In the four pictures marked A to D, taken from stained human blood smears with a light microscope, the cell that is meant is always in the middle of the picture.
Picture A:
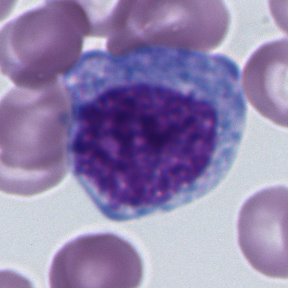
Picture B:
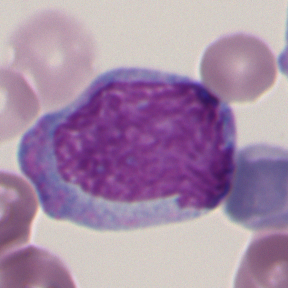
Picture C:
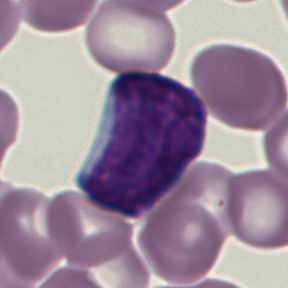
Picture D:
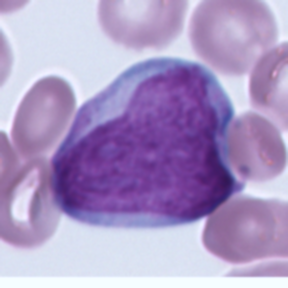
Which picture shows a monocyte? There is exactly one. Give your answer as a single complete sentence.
The cell in picture A is the monocyte.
